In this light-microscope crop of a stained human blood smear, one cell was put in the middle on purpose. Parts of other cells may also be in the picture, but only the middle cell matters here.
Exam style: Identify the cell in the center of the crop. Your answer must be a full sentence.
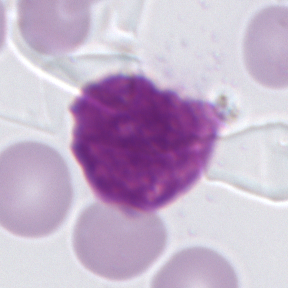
The cell around which this crop is centred is a smudge cell.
